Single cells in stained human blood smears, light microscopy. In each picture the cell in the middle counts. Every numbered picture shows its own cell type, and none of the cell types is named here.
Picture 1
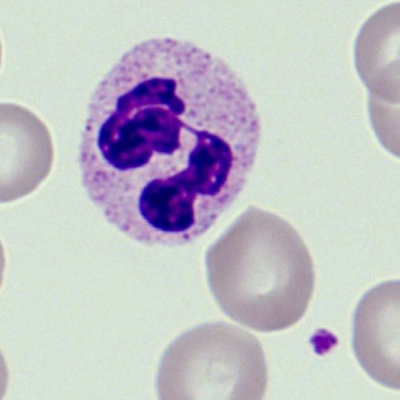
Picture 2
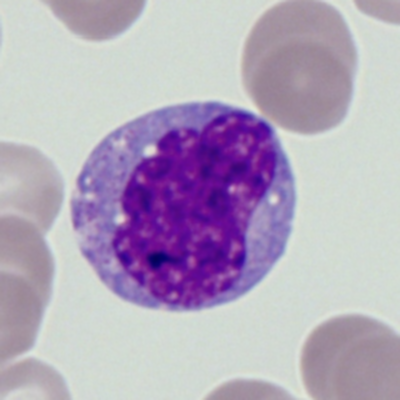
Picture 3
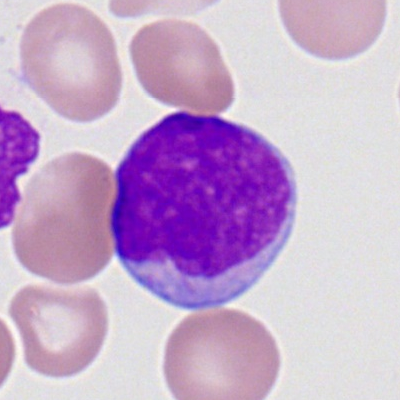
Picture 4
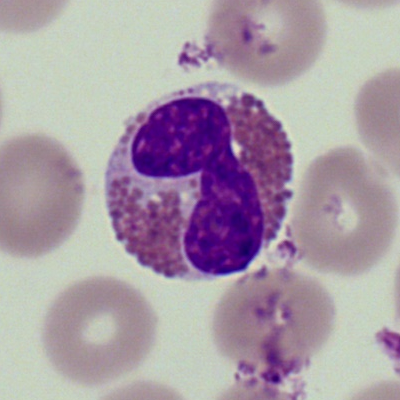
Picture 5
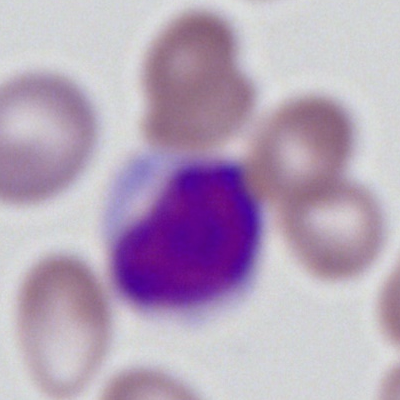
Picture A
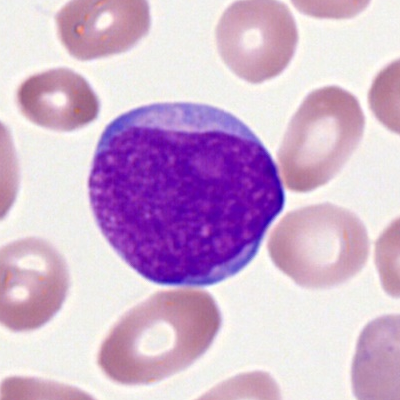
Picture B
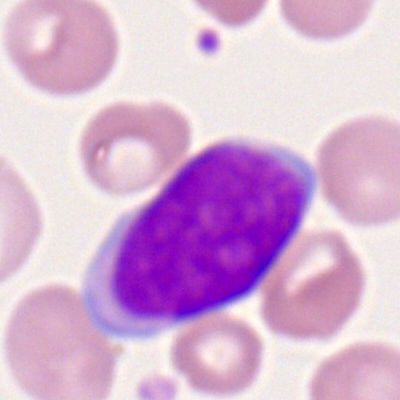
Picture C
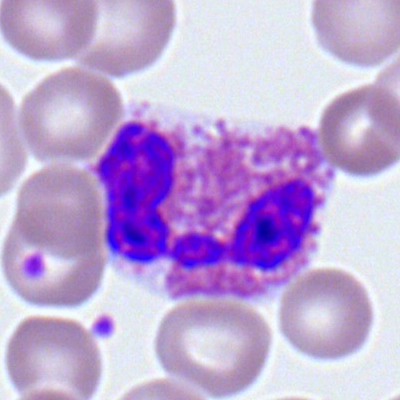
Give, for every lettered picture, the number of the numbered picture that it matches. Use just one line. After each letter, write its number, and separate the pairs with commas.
A 3, B 3, C 4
